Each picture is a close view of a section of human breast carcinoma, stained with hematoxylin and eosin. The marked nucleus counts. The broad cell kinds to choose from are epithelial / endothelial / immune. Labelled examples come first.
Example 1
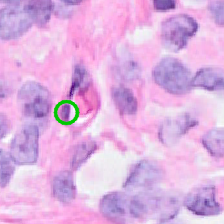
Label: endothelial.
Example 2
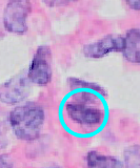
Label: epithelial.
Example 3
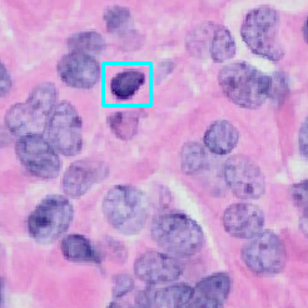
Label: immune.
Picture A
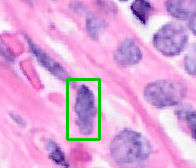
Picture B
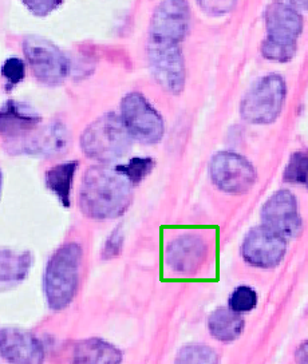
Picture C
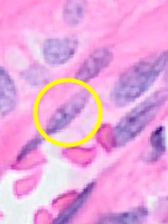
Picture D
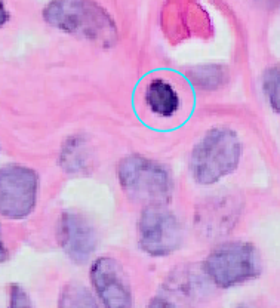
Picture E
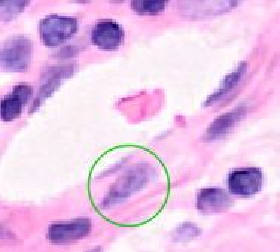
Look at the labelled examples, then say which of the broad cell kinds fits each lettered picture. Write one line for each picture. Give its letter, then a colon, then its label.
A: endothelial.
B: epithelial.
C: endothelial.
D: immune.
E: endothelial.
